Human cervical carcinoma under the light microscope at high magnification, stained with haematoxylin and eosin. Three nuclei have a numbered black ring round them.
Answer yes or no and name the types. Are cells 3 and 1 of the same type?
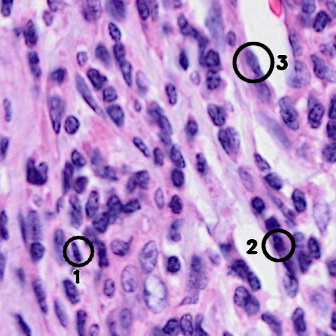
No, cell 3 counts as an endothelial cell, and cell 1 counts as a lymphocyte.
